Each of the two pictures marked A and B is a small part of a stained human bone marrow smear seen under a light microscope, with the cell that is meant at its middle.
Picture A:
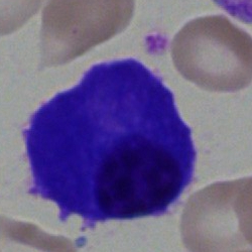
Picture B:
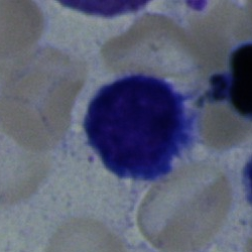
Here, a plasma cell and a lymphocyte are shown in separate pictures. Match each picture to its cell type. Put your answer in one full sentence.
The cell in picture A is a plasma cell, and the one in picture B is a lymphocyte.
